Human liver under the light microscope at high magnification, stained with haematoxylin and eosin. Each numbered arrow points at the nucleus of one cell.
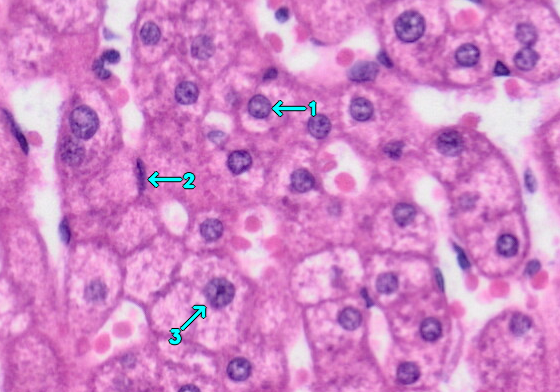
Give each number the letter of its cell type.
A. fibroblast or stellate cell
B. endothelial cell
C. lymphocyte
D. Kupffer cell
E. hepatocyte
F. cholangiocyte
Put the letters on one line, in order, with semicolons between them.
E; A; E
